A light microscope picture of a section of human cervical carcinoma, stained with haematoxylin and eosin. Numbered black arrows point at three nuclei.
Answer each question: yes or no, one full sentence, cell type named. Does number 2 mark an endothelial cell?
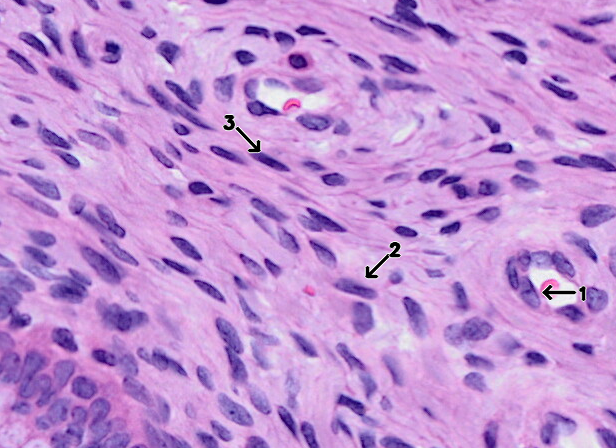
No, what is marked as number 2 is a fibroblast rather than an endothelial cell.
